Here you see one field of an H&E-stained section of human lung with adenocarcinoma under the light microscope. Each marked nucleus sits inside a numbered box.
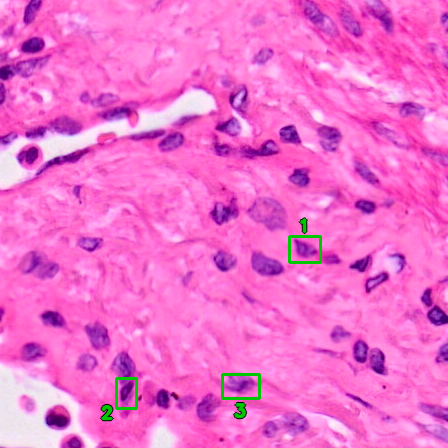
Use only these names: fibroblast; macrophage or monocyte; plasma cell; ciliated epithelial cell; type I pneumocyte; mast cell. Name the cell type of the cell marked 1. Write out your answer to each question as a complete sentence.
Among the marked nuclei, number 1 belongs to a mast cell.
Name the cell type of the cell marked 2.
The cell assigned the number 2 is a plasma cell.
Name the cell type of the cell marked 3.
The one labeled 3 is a fibroblast, to put it simply.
